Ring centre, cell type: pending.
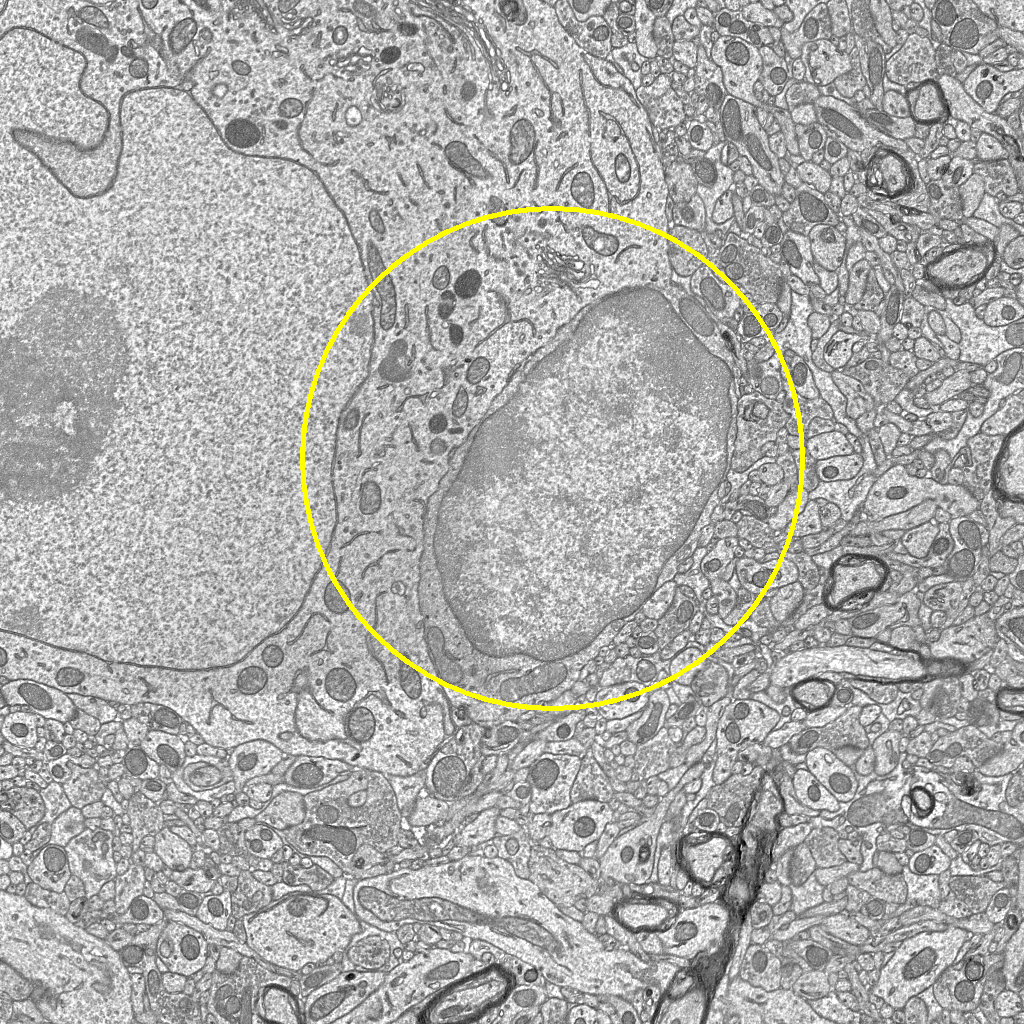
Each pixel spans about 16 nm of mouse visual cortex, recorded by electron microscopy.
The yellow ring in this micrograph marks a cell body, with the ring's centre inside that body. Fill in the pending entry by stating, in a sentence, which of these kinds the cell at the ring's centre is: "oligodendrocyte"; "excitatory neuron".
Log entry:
The cell at the ring's centre is recorded as an oligodendrocyte.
